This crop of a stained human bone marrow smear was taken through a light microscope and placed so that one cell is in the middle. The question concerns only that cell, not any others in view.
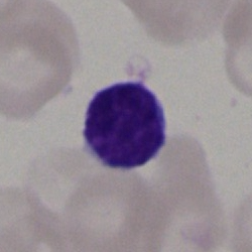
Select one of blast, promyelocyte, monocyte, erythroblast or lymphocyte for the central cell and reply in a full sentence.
At the crop's centre, the cell is a lymphocyte.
